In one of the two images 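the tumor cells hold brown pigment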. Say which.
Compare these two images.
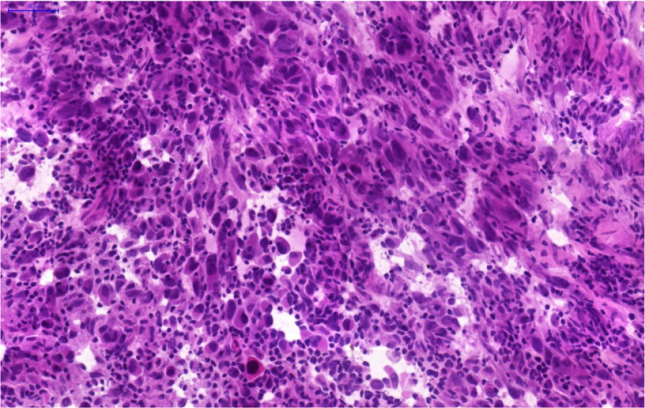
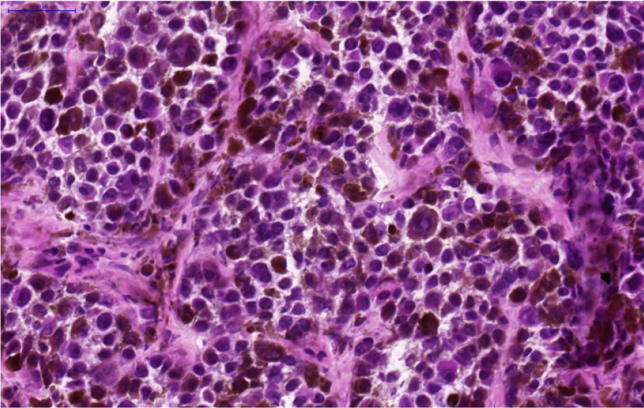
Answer: The second image.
